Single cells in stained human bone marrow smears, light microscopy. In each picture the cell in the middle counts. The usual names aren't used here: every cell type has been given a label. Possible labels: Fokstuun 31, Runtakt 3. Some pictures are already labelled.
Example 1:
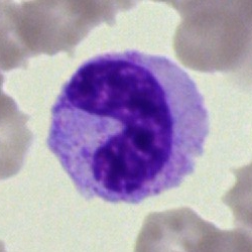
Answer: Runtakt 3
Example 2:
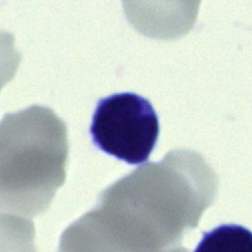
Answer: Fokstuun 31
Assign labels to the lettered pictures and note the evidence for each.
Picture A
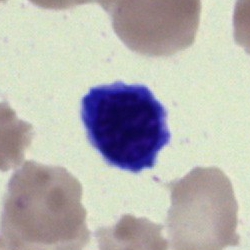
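Fokstuun 31. Reason: The nucleus fills almost the whole cell, leaving at most a very thin rim of cytoplasm.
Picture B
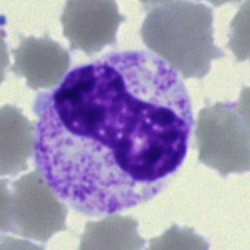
Runtakt 3. Reason: Many small purple granules are scattered throughout the cytoplasm.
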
